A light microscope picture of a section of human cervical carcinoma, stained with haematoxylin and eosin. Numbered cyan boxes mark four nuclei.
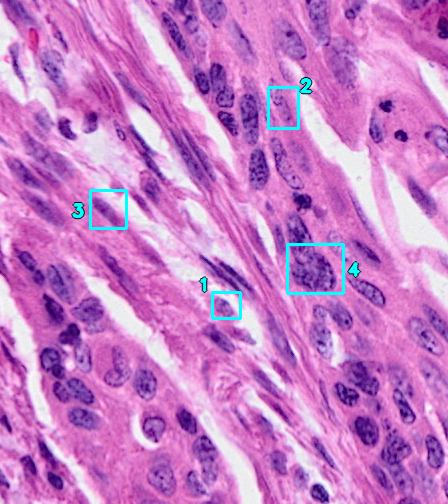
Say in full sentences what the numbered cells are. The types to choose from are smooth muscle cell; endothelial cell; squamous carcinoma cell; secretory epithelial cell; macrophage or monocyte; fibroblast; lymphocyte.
Cell 1 is a macrophage or monocyte, cell 2 is a squamous carcinoma cell, cell 3 is a fibroblast and cell 4 is a squamous carcinoma cell.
